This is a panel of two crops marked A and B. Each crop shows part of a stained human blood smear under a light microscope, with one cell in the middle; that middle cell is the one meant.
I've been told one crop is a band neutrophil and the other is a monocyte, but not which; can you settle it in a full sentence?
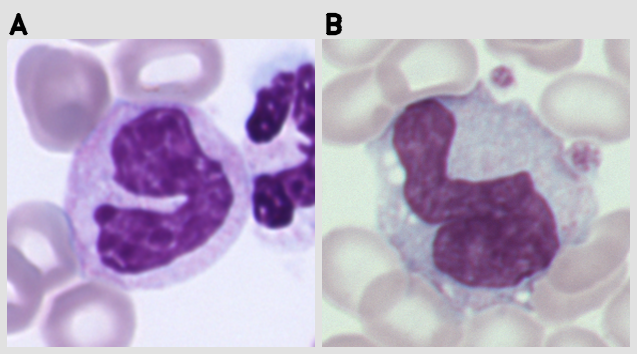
Crop A contains a band neutrophil, and crop B contains a monocyte.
